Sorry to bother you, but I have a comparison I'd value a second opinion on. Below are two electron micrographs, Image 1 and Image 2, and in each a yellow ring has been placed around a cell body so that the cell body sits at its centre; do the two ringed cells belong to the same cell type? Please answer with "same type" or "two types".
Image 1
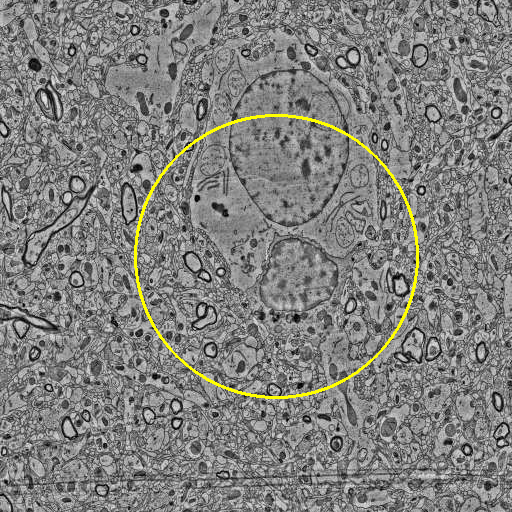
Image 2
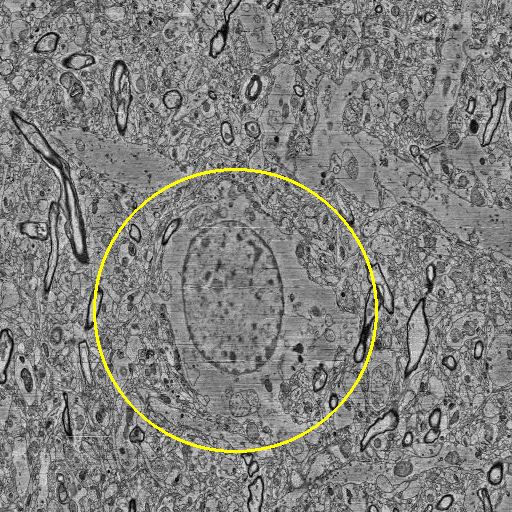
two types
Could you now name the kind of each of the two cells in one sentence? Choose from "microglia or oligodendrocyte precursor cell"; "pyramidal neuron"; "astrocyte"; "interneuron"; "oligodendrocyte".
The first ring encloses an oligodendrocyte; the second ring encloses an astrocyte.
